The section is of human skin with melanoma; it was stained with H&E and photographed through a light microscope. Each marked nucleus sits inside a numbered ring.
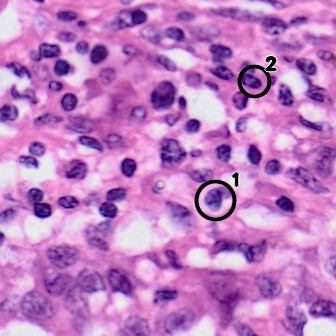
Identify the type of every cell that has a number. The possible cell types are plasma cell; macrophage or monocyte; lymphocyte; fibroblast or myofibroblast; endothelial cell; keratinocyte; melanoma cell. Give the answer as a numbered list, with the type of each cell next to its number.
1. lymphocyte
2. plasma cell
